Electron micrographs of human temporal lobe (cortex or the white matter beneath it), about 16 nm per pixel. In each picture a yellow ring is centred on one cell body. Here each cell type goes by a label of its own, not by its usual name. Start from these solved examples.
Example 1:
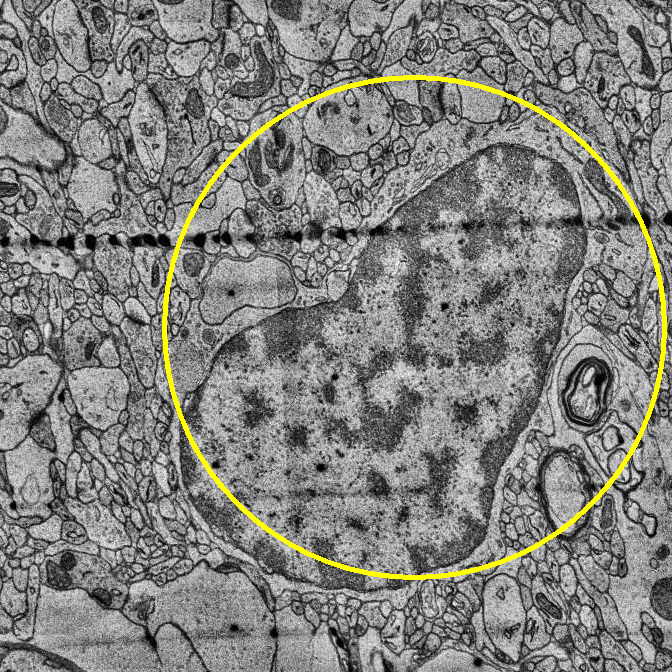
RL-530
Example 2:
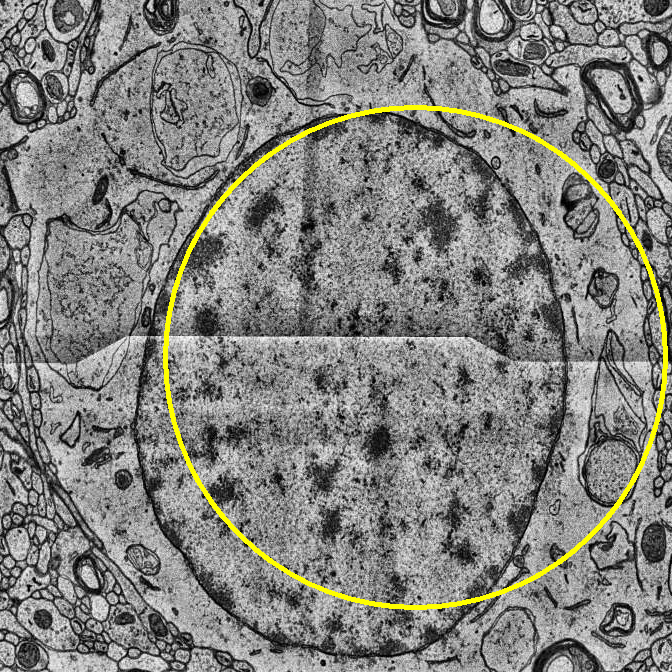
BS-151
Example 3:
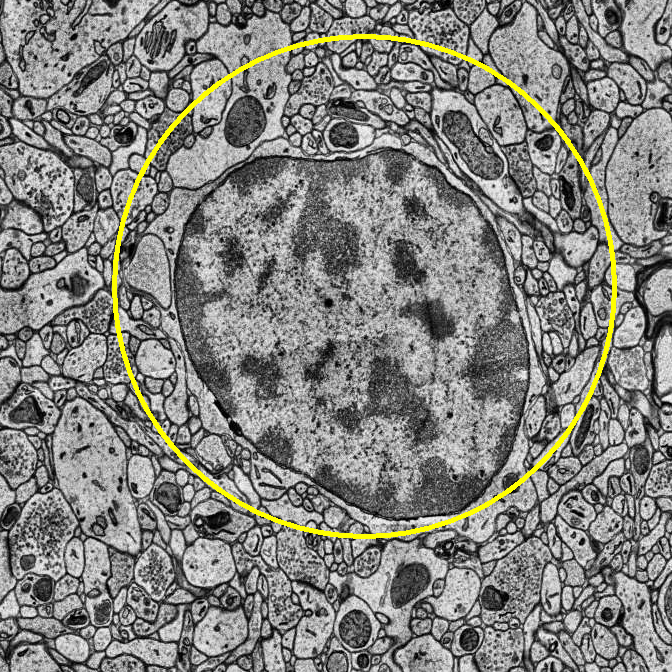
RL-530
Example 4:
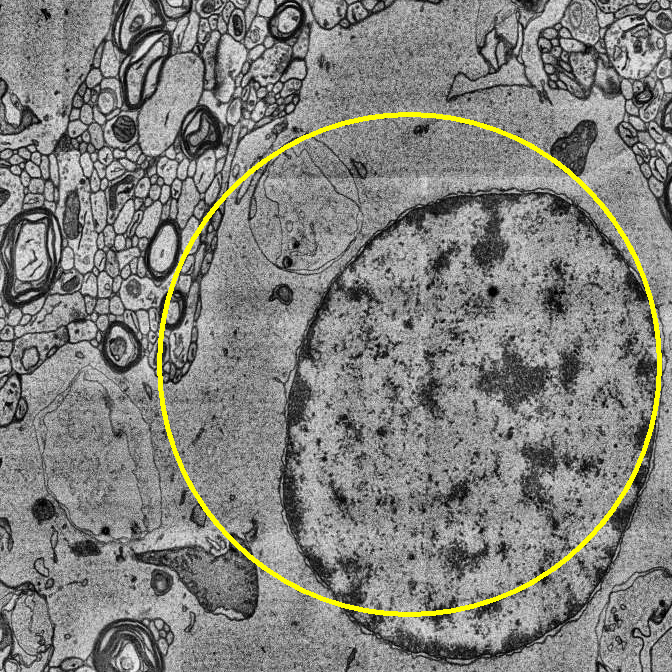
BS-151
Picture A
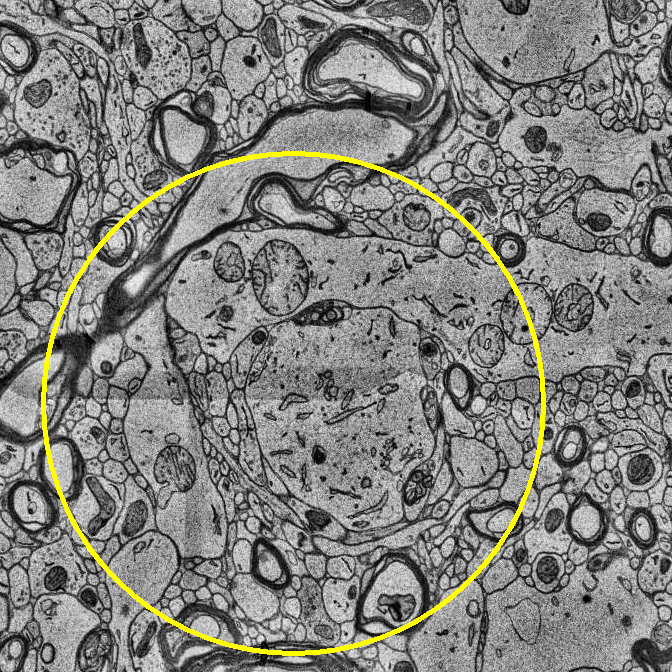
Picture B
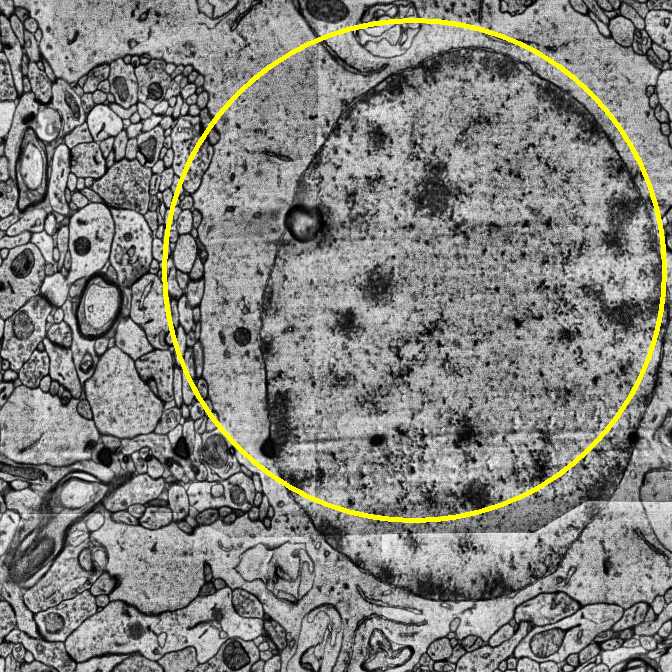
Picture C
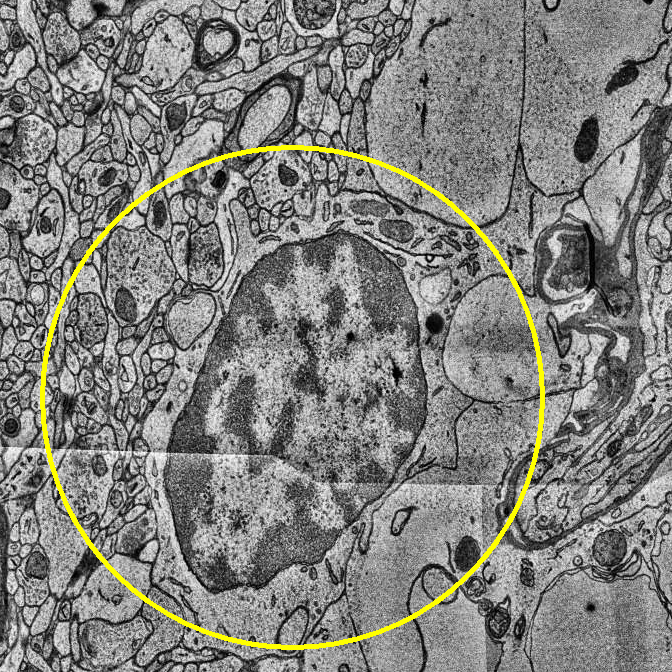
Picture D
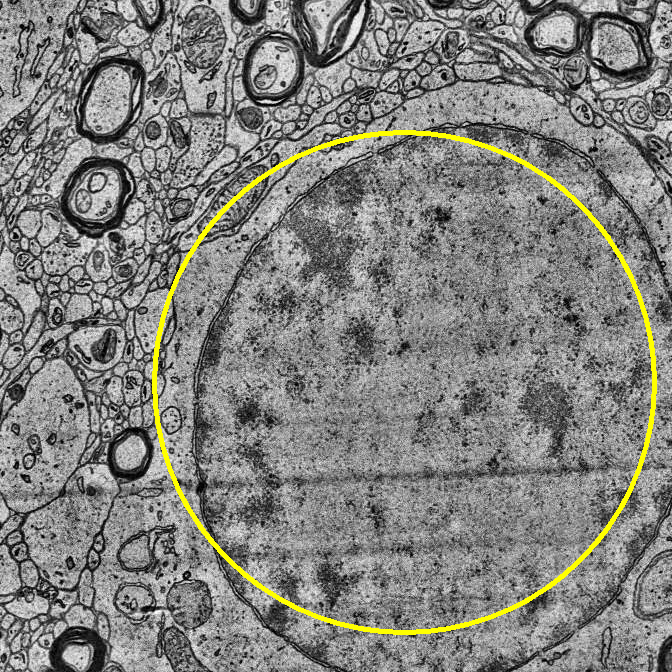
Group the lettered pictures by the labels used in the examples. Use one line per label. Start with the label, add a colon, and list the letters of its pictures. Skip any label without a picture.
RL-530: A, C
BS-151: B, D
